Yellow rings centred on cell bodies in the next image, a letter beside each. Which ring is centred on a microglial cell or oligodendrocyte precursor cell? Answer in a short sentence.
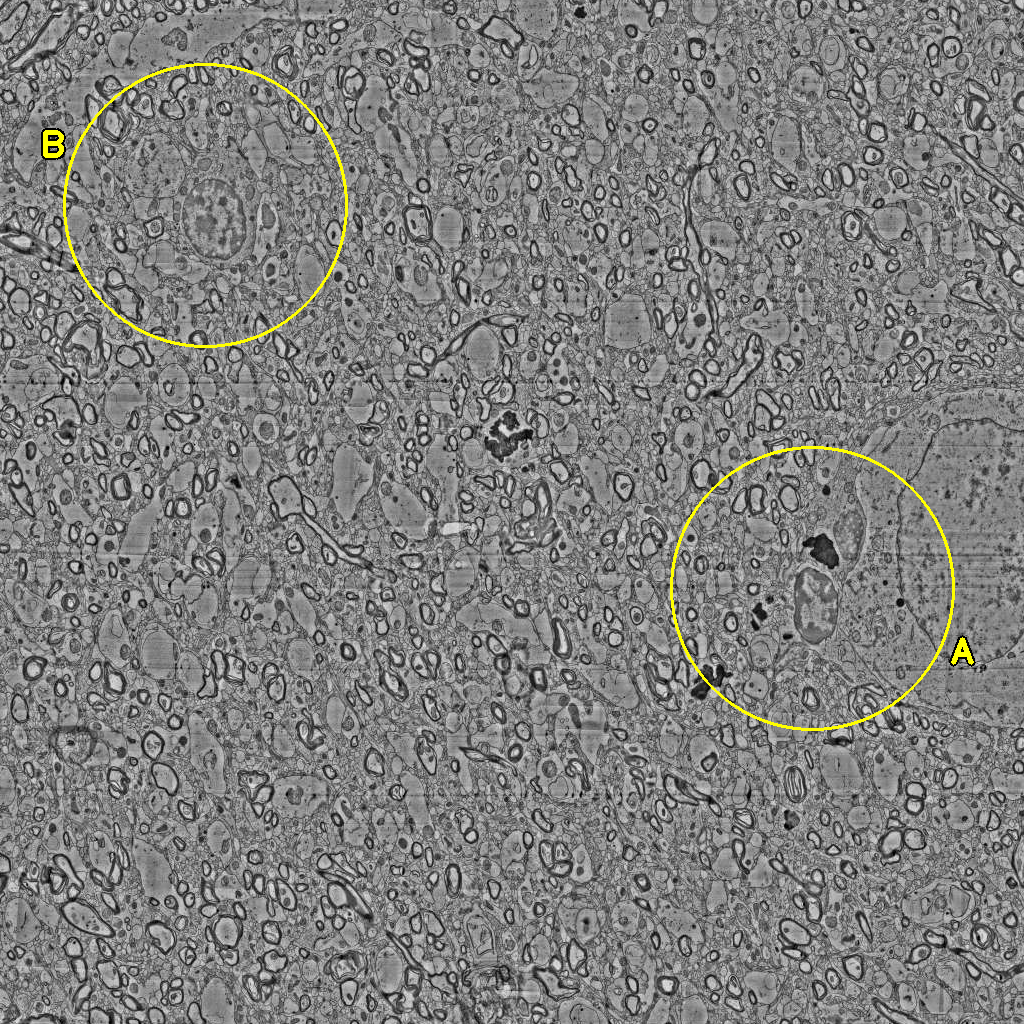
Ring A is centred on it.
